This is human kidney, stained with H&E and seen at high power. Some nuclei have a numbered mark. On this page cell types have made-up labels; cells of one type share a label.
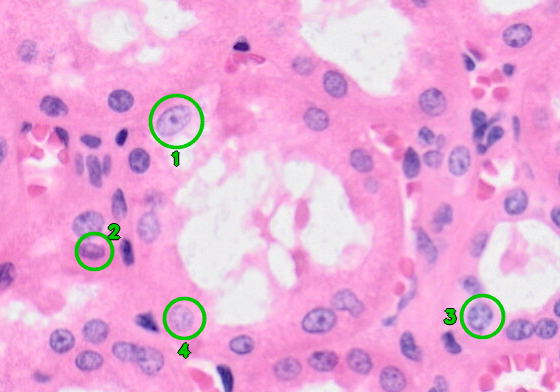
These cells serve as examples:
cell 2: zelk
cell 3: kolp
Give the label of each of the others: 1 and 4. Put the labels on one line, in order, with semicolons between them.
zelk; zelk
